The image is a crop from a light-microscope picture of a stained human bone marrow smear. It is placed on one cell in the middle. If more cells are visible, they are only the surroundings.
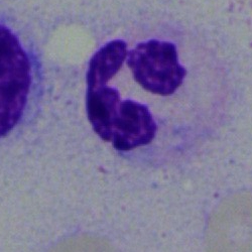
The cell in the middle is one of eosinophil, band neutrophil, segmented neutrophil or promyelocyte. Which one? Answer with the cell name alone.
segmented neutrophil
